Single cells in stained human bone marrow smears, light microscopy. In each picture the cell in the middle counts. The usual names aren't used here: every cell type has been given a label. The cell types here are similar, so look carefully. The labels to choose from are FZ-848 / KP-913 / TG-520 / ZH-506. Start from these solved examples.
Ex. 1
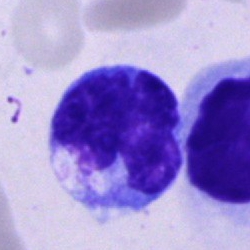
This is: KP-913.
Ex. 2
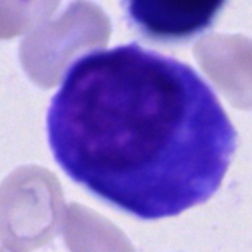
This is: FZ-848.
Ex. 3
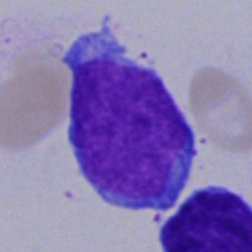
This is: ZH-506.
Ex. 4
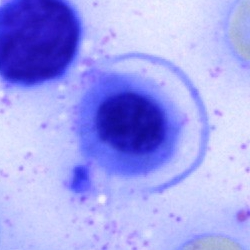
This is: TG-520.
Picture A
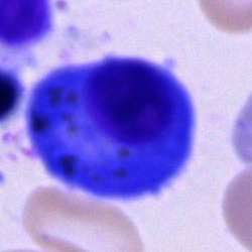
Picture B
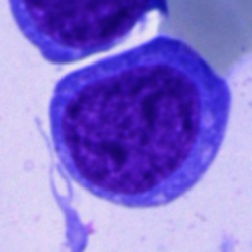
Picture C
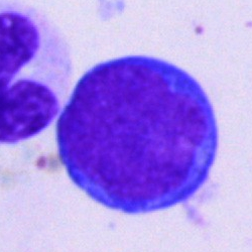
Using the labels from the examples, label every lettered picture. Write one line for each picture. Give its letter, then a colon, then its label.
A: FZ-848.
B: ZH-506.
C: ZH-506.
